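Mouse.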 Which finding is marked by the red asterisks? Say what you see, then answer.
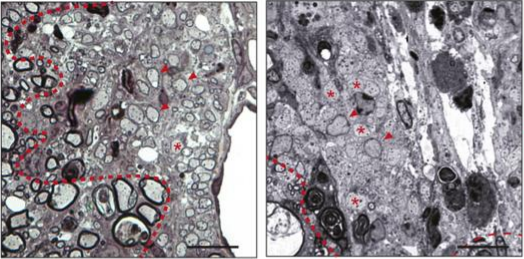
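The asterisks sit on round pale axon profiles. These profiles have no dark ring around them. So: demyelinated axons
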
